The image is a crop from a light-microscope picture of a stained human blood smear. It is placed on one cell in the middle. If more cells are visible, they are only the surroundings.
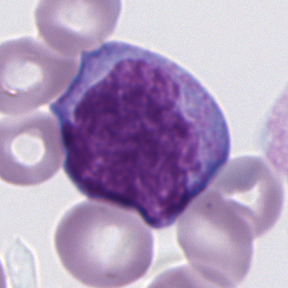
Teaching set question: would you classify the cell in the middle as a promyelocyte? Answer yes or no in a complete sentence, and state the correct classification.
Yes, the cell at the midpoint of the crop is a promyelocyte.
